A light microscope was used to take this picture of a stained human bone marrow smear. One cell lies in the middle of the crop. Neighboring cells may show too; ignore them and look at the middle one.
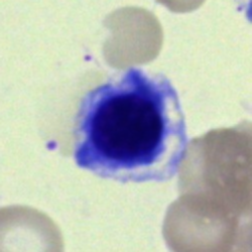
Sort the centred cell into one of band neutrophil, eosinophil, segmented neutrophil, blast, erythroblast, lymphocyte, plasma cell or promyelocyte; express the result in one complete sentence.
The centrally located cell in the crop is an erythroblast.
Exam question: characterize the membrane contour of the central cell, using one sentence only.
The cell is outlined unevenly, the border being ragged or extended into projections.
